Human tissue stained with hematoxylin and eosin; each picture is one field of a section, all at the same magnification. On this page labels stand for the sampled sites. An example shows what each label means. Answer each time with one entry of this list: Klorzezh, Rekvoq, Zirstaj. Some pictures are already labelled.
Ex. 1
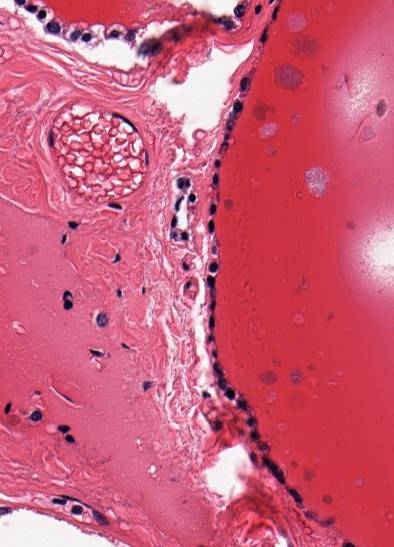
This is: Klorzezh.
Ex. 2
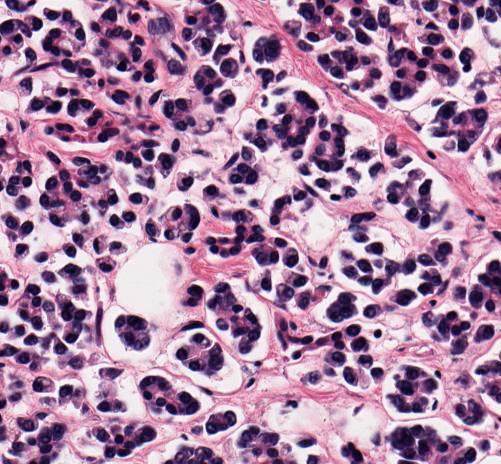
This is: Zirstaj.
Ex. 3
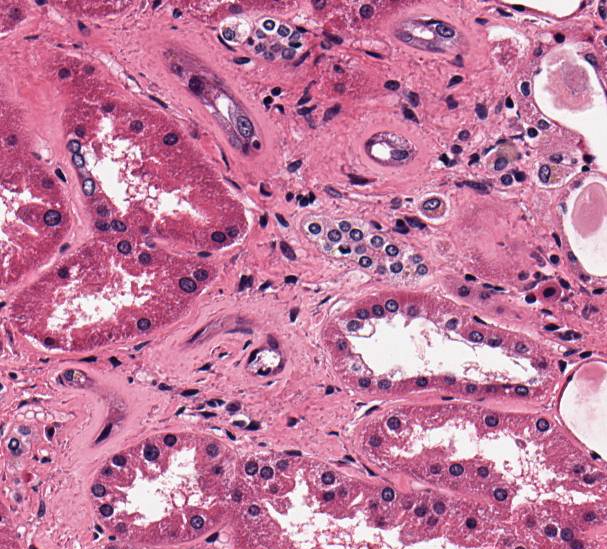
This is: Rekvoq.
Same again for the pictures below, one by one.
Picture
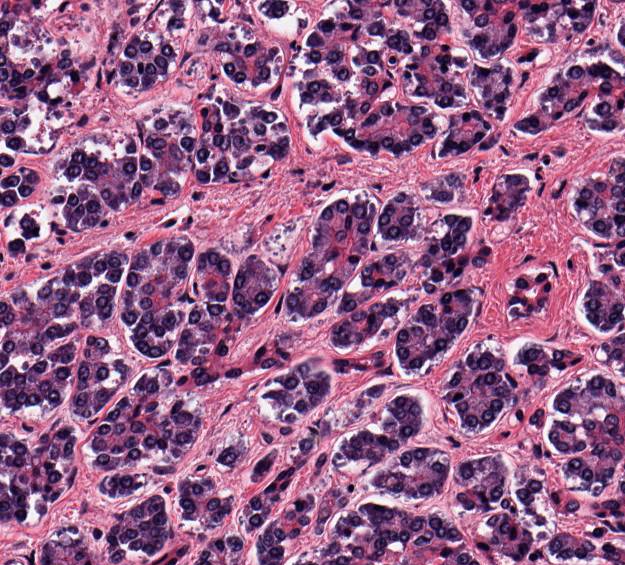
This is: Zirstaj.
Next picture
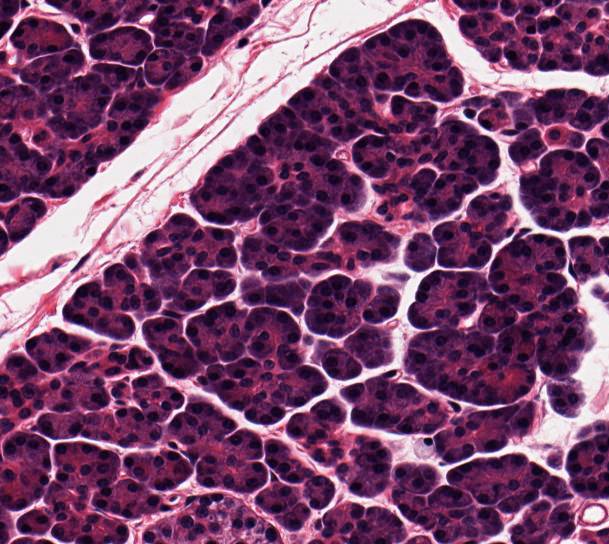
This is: Zirstaj.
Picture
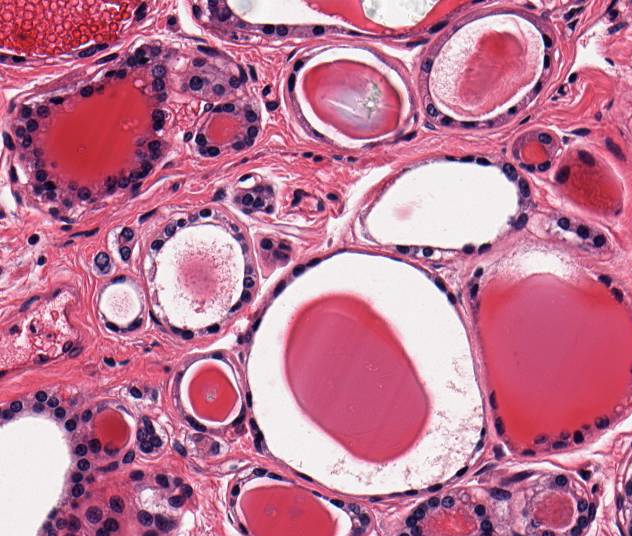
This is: Klorzezh.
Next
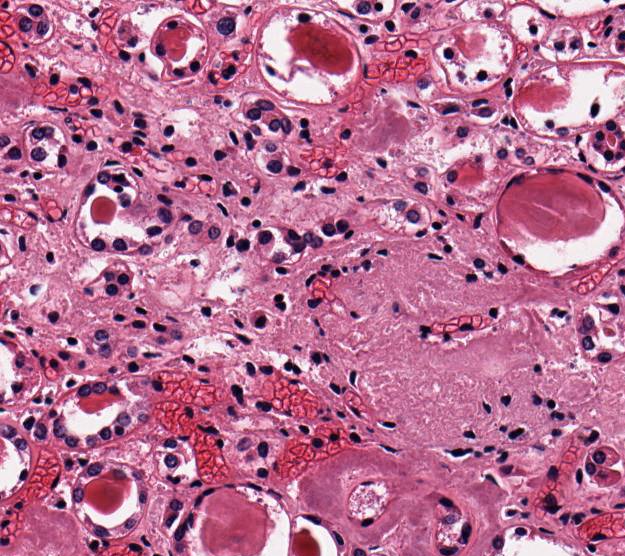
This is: Rekvoq.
